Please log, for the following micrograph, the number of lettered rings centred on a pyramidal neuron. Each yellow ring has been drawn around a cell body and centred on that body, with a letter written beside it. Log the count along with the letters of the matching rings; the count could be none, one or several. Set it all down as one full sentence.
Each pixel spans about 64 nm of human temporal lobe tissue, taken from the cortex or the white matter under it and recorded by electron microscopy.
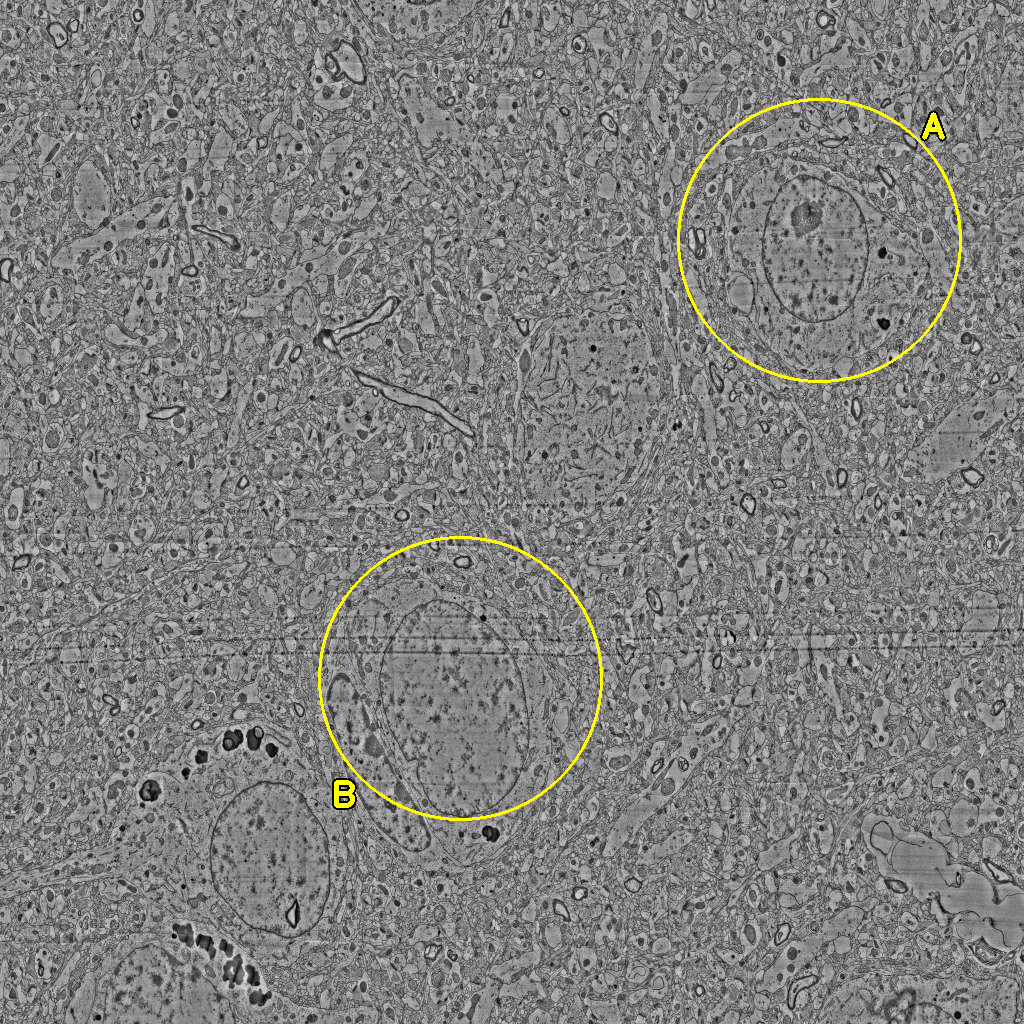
The set of rings with the letters A and B contains two members, each centred on a pyramidal neuron.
